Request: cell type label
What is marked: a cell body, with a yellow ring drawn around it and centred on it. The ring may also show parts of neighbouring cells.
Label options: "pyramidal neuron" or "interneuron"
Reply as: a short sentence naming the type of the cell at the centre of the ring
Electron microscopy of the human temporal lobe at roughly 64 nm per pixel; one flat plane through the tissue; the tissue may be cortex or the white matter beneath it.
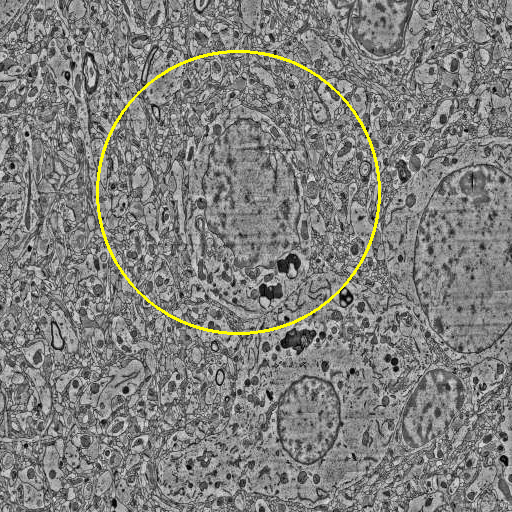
The marked cell body is that of an interneuron.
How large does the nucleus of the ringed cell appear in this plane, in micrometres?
Approximately 10 by 6 micrometers, which makes the nucleus clearly longer than it is wide in this plane.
